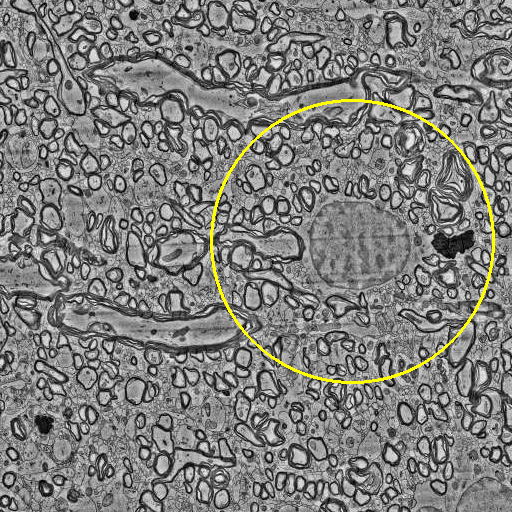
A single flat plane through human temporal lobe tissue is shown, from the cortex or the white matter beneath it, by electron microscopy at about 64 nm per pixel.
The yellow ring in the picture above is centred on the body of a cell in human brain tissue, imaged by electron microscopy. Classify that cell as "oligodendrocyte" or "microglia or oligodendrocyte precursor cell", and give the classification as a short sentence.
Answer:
The cell in the middle of the ring is an oligodendrocyte.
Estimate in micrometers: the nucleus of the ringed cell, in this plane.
In this plane, approximately 6 micrometres across.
